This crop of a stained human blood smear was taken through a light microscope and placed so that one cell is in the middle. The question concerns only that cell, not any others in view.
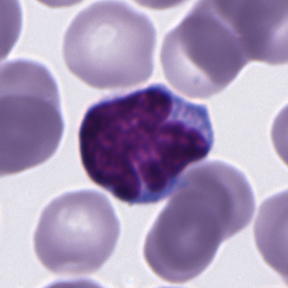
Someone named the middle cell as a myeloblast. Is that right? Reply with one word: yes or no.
no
